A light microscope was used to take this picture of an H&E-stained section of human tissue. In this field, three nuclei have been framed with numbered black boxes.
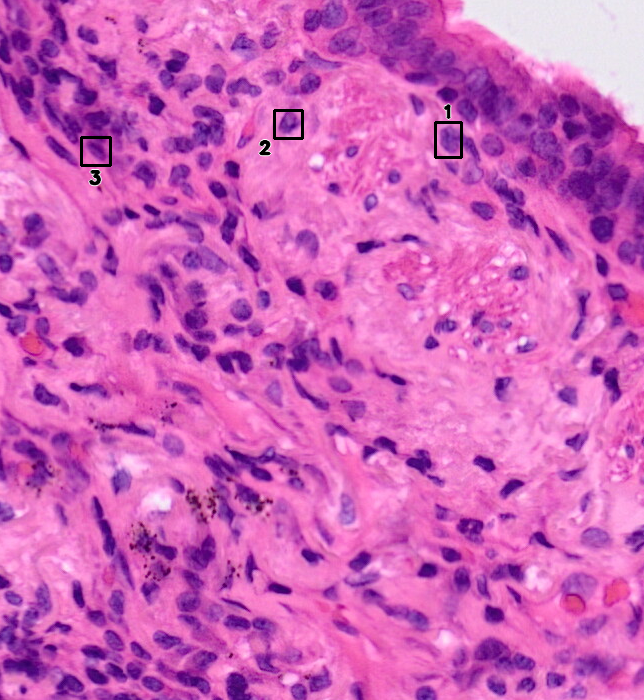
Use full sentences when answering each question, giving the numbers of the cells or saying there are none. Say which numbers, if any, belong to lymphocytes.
Cell 1 is a lymphocyte, and it is the only numbered cell that is.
